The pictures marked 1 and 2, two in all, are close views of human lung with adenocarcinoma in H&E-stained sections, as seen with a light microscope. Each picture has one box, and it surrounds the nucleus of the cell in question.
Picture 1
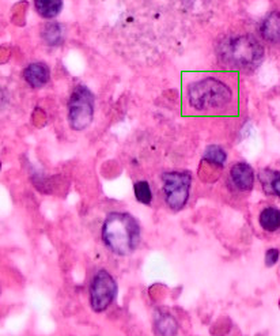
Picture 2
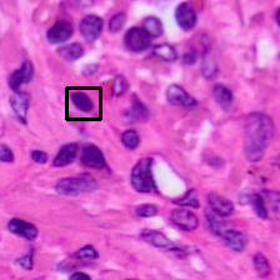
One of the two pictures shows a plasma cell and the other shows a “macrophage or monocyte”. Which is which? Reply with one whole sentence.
Picture 1 is of a “macrophage or monocyte”, and picture 2 is of a plasma cell.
